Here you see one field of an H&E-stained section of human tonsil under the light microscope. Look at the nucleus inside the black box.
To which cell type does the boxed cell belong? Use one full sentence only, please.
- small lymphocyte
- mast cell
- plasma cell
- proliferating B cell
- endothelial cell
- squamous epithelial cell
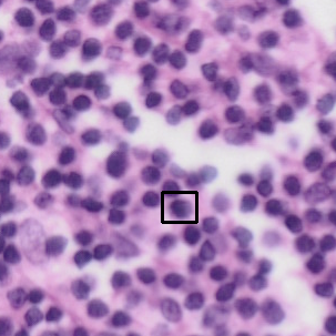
On this particular slide, the boxed cell is a small lymphocyte.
